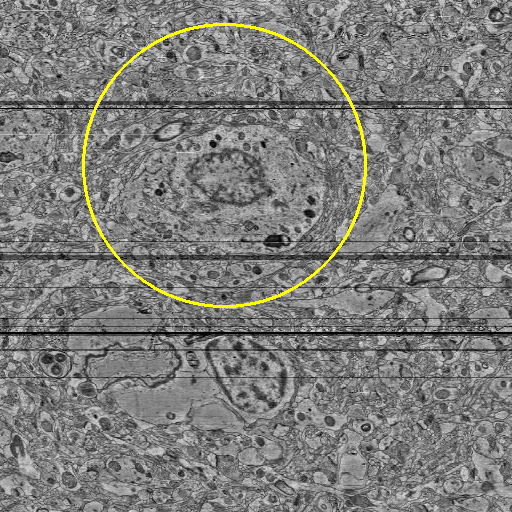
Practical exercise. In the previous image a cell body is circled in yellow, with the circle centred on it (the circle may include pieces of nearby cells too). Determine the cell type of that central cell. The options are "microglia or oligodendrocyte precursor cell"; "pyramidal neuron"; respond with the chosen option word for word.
pyramidal neuron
